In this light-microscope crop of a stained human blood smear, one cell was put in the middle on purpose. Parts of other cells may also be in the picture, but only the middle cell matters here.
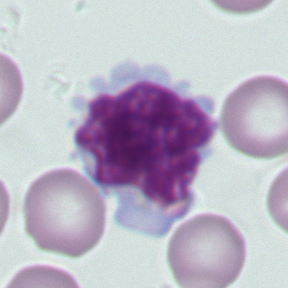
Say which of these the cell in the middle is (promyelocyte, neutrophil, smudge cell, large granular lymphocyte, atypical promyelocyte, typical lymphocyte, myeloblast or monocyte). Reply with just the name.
typical lymphocyte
